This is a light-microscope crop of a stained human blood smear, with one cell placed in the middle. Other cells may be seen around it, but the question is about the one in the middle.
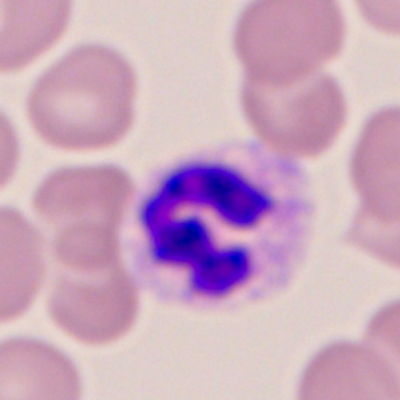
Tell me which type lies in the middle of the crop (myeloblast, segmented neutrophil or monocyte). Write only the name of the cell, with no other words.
segmented neutrophil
